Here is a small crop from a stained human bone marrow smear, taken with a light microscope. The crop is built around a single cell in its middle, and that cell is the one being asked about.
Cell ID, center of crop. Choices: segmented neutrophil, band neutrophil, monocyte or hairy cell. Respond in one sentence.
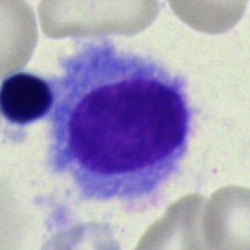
The cell at the central position in this crop is a hairy cell.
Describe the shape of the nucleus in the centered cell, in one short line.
What stands out is a nucleus forming one compact round, oval or kidney-shaped mass.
